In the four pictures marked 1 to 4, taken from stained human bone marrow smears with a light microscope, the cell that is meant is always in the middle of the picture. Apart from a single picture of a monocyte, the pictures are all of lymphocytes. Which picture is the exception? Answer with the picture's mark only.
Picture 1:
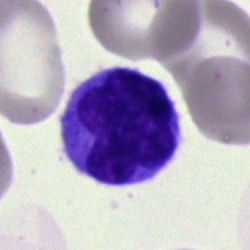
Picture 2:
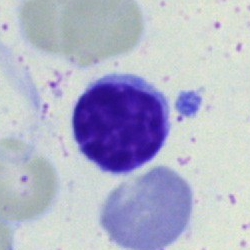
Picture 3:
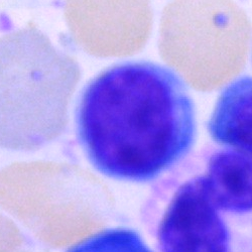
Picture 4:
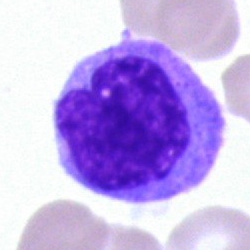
4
